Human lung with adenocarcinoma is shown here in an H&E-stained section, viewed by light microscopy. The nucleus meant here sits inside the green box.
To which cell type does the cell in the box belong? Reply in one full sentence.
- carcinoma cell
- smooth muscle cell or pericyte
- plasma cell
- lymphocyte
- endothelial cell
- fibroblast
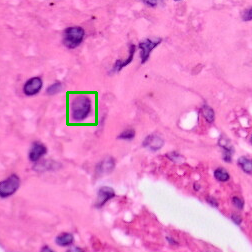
Among the cells in this section, the cell in the box is a plasma cell.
